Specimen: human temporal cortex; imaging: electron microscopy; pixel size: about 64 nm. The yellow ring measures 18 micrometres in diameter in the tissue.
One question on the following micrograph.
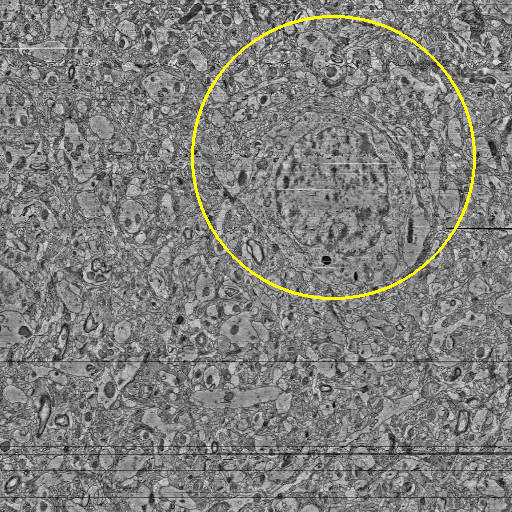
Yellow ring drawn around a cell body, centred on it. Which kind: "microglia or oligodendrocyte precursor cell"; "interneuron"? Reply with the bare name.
interneuron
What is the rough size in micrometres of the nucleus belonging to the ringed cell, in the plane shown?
In this plane, approximately 9 by 7 micrometers.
